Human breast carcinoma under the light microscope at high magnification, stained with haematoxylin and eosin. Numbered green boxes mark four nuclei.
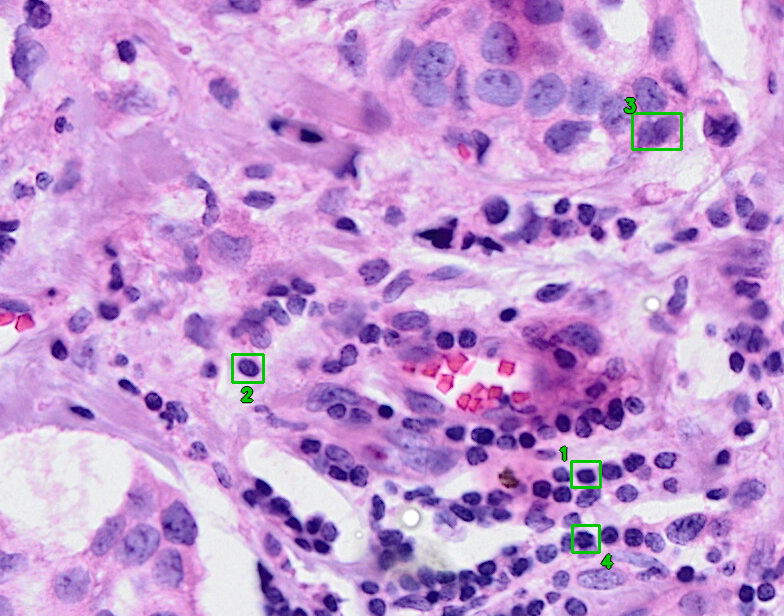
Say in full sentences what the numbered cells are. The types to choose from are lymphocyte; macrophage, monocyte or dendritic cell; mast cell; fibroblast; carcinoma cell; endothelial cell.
Cells 1, 2 and 4 are lymphocytes. Cell 3 is a carcinoma cell.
